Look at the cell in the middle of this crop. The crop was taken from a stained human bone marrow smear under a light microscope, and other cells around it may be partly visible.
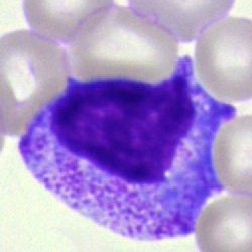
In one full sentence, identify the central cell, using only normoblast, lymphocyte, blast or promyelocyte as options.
The cell at the heart of this crop is a promyelocyte.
